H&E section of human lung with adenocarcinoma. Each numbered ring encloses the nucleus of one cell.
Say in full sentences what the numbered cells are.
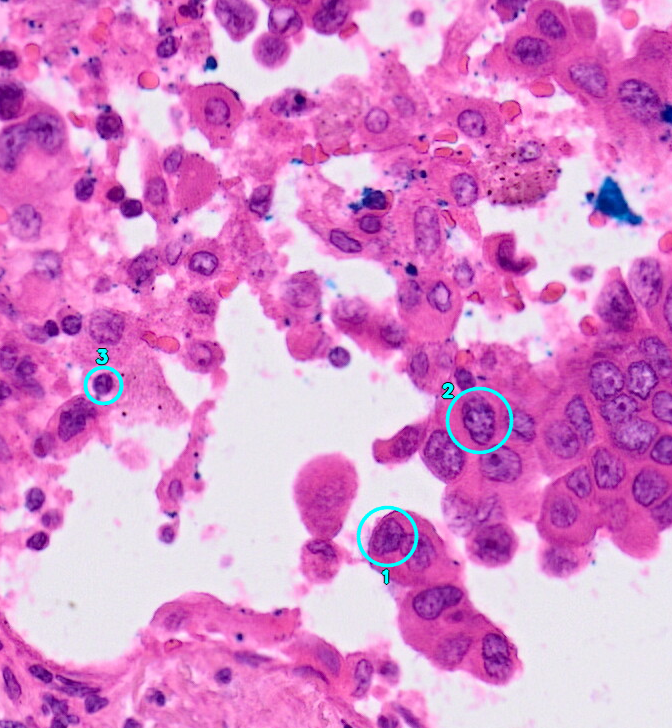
Cells 1 and 2 are carcinoma cells. Cell 3 is a lymphocyte.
